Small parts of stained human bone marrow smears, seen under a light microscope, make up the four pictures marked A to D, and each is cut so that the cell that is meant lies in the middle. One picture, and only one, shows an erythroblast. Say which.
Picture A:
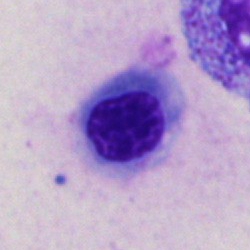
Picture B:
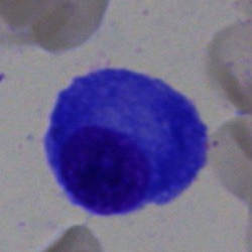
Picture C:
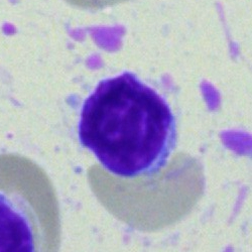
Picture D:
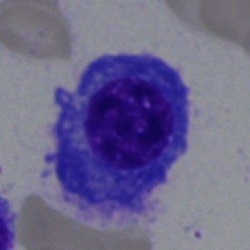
A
